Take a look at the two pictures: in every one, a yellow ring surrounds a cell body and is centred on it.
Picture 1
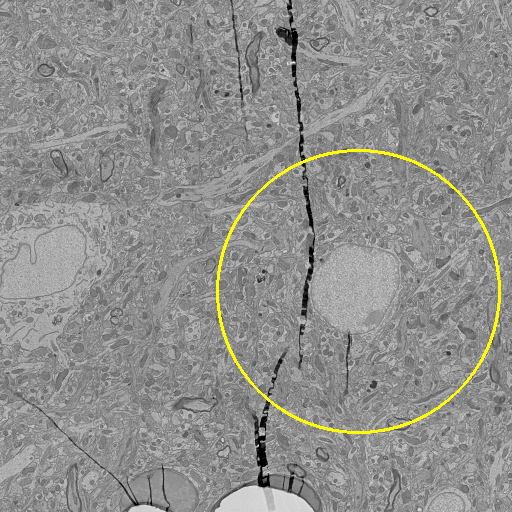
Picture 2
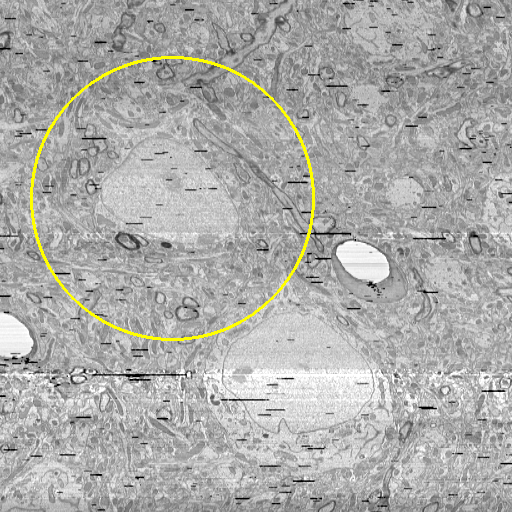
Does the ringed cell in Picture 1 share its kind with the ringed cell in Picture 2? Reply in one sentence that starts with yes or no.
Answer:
Yes, the two centred cells, one per picture, are of one kind.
